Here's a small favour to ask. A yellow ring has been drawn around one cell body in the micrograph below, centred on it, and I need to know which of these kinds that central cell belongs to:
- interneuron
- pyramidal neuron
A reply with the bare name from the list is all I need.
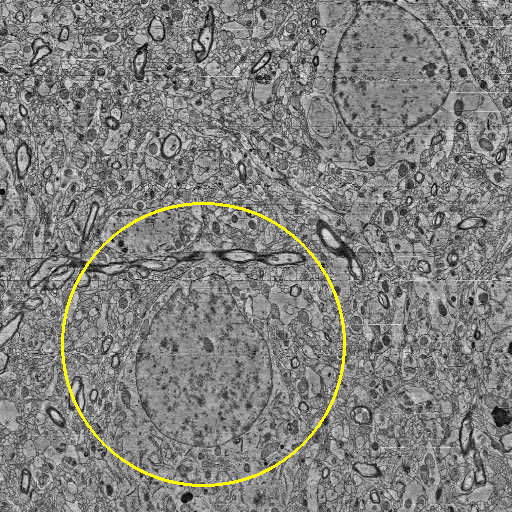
interneuron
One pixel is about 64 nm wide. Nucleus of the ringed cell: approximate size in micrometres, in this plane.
Roughly 12 by 9 micrometres in this plane, for the nucleus of the ringed cell.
